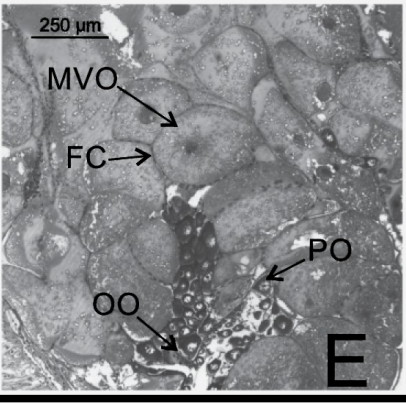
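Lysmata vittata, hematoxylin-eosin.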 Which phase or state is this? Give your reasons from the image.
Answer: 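Very large rounded oocytes with pale granular cytoplasm fill most of the section. Small dark cells are confined to narrow nests between the large oocytes.
Hence: Developed ovary portion.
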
